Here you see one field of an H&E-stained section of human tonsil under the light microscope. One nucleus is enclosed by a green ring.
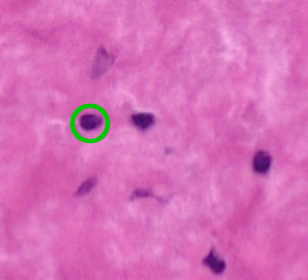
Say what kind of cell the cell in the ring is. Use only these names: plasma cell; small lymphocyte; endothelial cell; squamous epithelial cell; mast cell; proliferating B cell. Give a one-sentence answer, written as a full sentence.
At the level of cell identity, the cell in the ring is a mast cell.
